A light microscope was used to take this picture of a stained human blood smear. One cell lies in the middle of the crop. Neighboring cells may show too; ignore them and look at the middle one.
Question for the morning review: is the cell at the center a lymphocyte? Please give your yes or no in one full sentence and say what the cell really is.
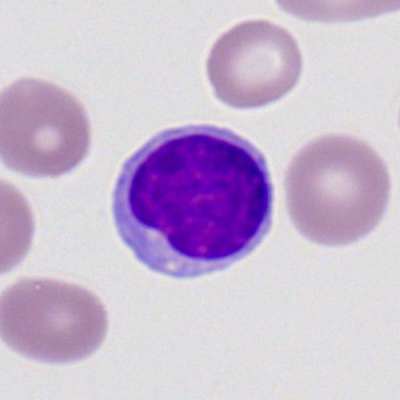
Yes, centred in the crop is a lymphocyte.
